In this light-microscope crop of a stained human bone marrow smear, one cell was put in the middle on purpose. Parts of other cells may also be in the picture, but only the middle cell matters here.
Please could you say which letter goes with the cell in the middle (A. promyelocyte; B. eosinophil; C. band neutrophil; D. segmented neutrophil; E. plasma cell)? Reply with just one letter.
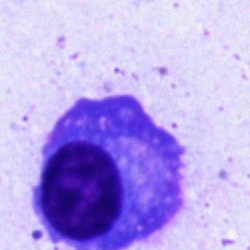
E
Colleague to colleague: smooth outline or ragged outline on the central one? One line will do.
Along the periphery, ragged stretches or projections make the outline irregular.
